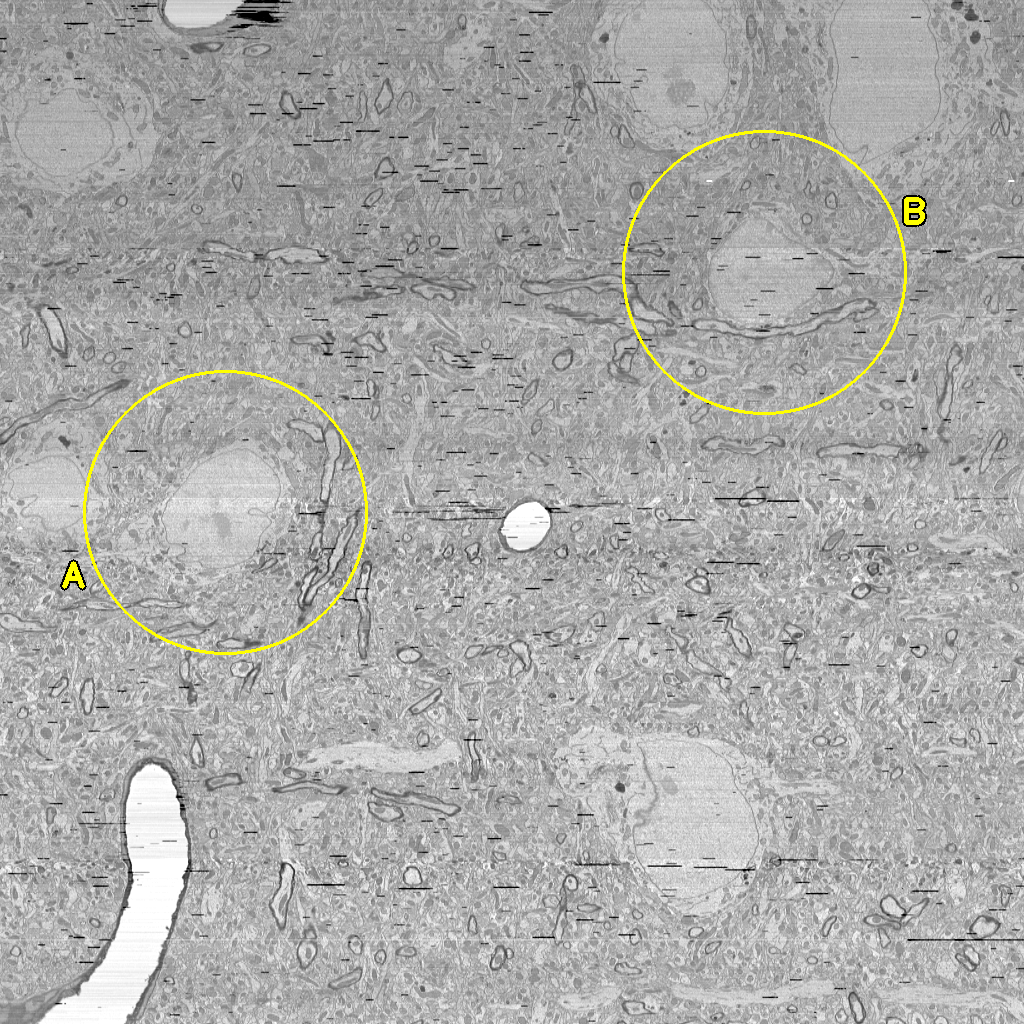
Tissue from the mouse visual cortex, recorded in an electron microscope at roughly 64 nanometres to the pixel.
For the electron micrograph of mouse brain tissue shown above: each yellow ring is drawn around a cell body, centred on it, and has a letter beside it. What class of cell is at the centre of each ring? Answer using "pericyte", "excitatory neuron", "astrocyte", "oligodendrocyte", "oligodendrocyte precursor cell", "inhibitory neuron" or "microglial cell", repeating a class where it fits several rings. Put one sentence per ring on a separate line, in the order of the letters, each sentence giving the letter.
At ring A, the central cell is an excitatory neuron.
At ring B, the central cell is an astrocyte.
